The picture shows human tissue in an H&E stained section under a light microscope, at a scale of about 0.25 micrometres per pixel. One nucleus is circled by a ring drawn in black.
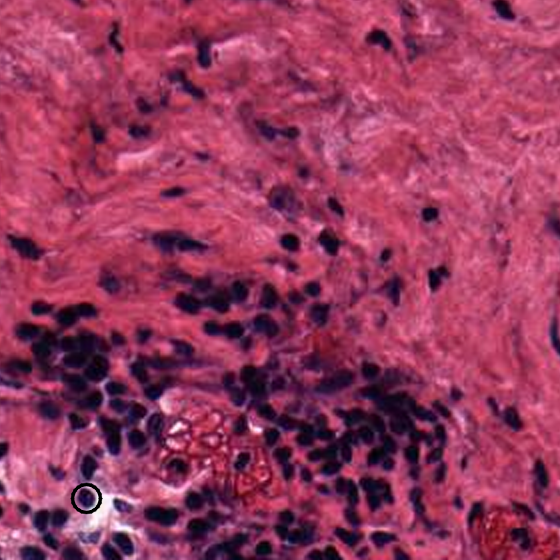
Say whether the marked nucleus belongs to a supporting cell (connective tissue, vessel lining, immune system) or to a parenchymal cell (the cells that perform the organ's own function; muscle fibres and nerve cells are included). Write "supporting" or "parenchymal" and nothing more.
supporting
